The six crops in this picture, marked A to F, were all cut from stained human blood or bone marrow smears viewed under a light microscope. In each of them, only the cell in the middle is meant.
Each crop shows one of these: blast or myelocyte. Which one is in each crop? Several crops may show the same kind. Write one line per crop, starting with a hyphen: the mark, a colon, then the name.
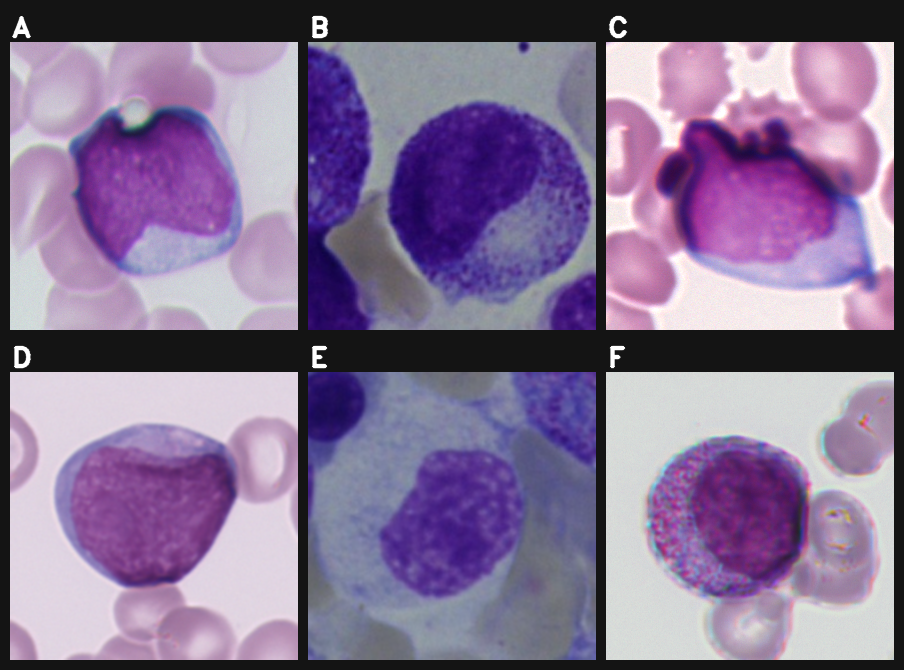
- A: blast
- B: myelocyte
- C: blast
- D: blast
- E: myelocyte
- F: myelocyte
